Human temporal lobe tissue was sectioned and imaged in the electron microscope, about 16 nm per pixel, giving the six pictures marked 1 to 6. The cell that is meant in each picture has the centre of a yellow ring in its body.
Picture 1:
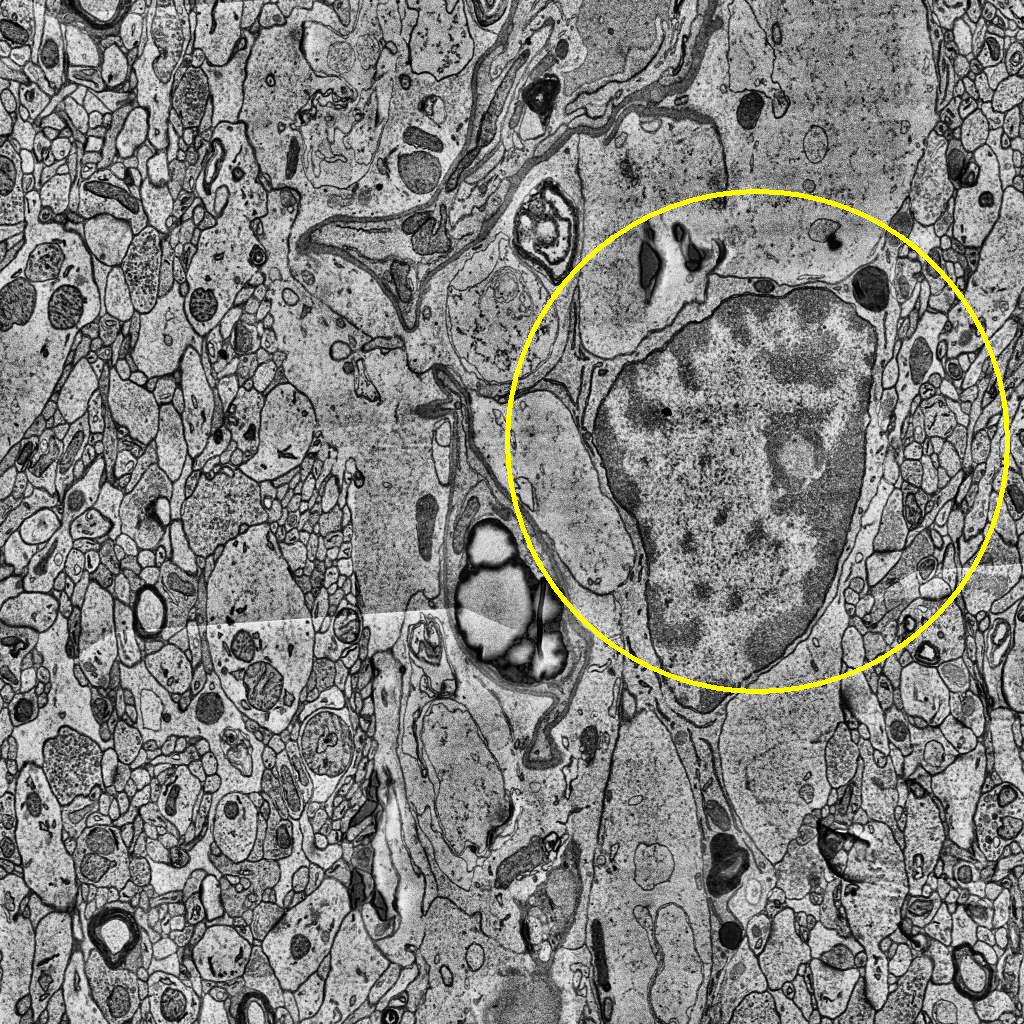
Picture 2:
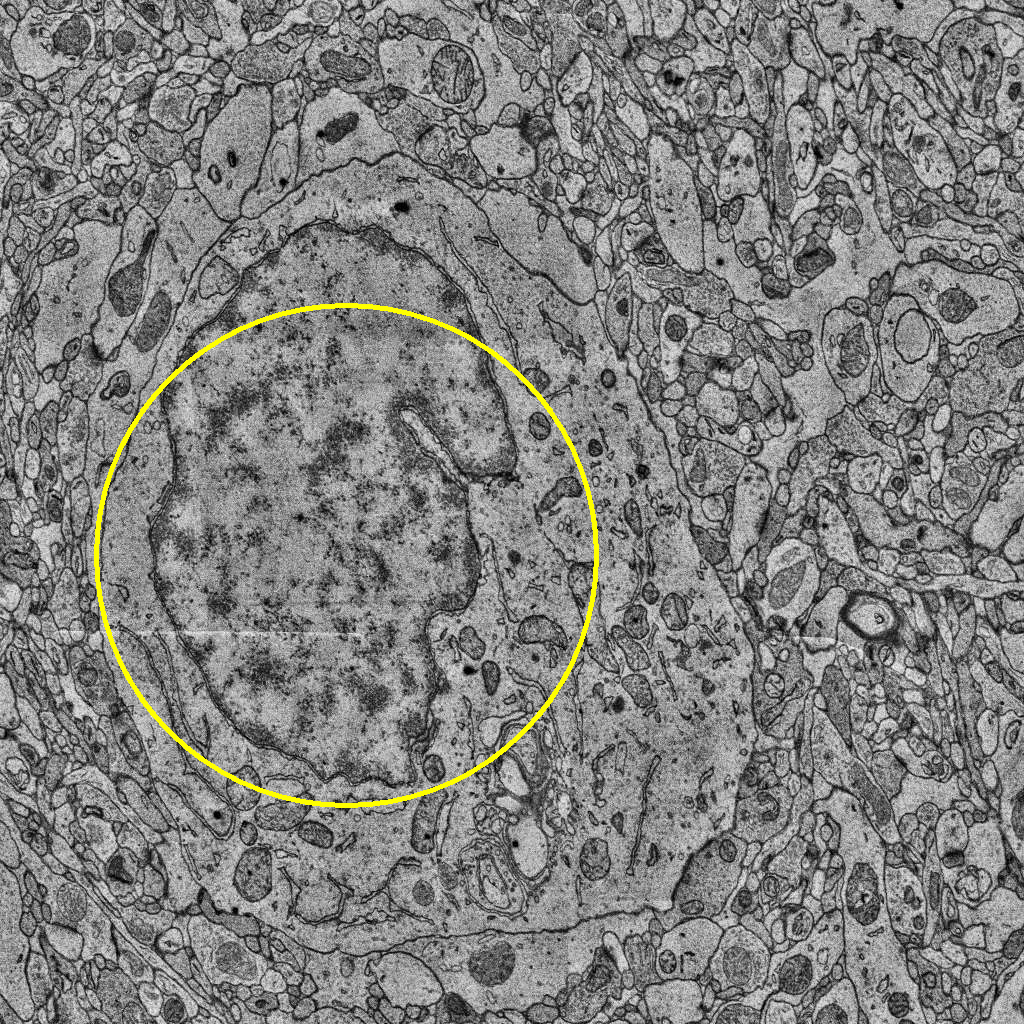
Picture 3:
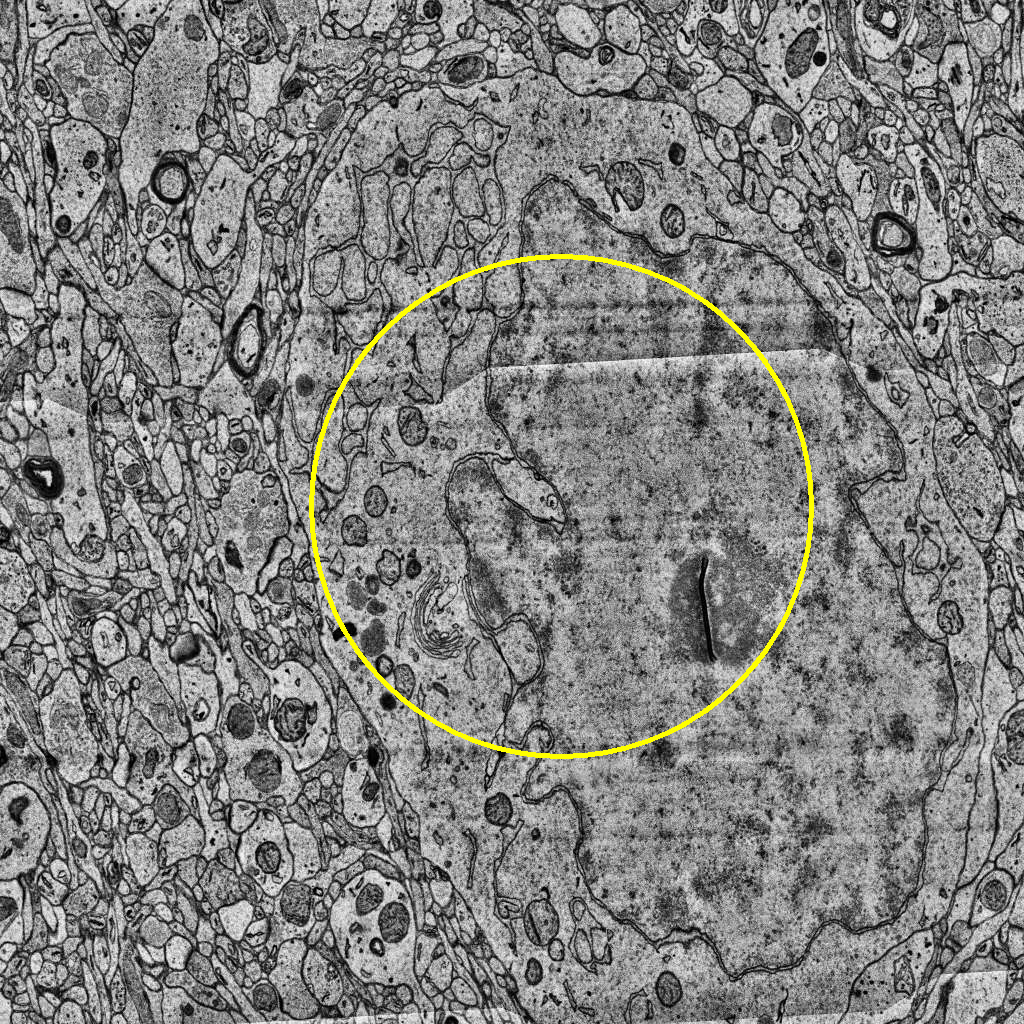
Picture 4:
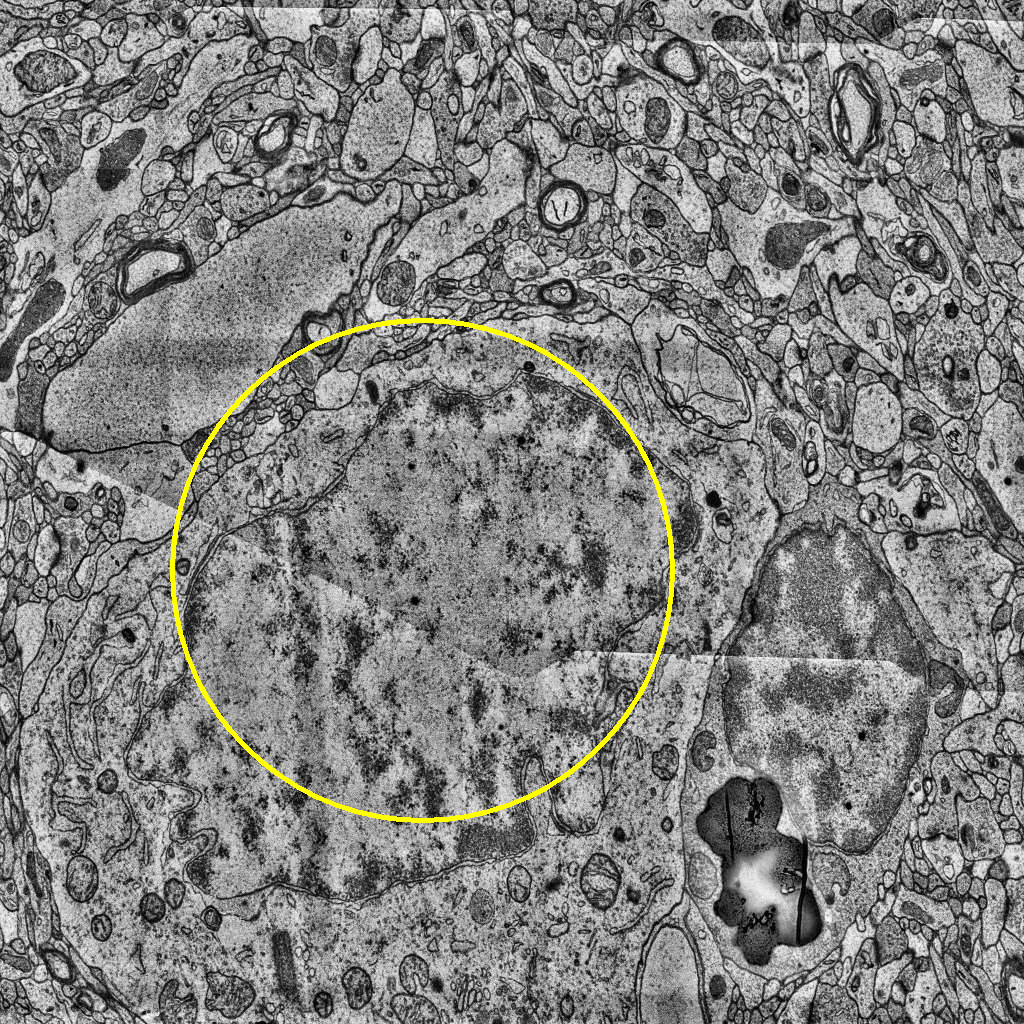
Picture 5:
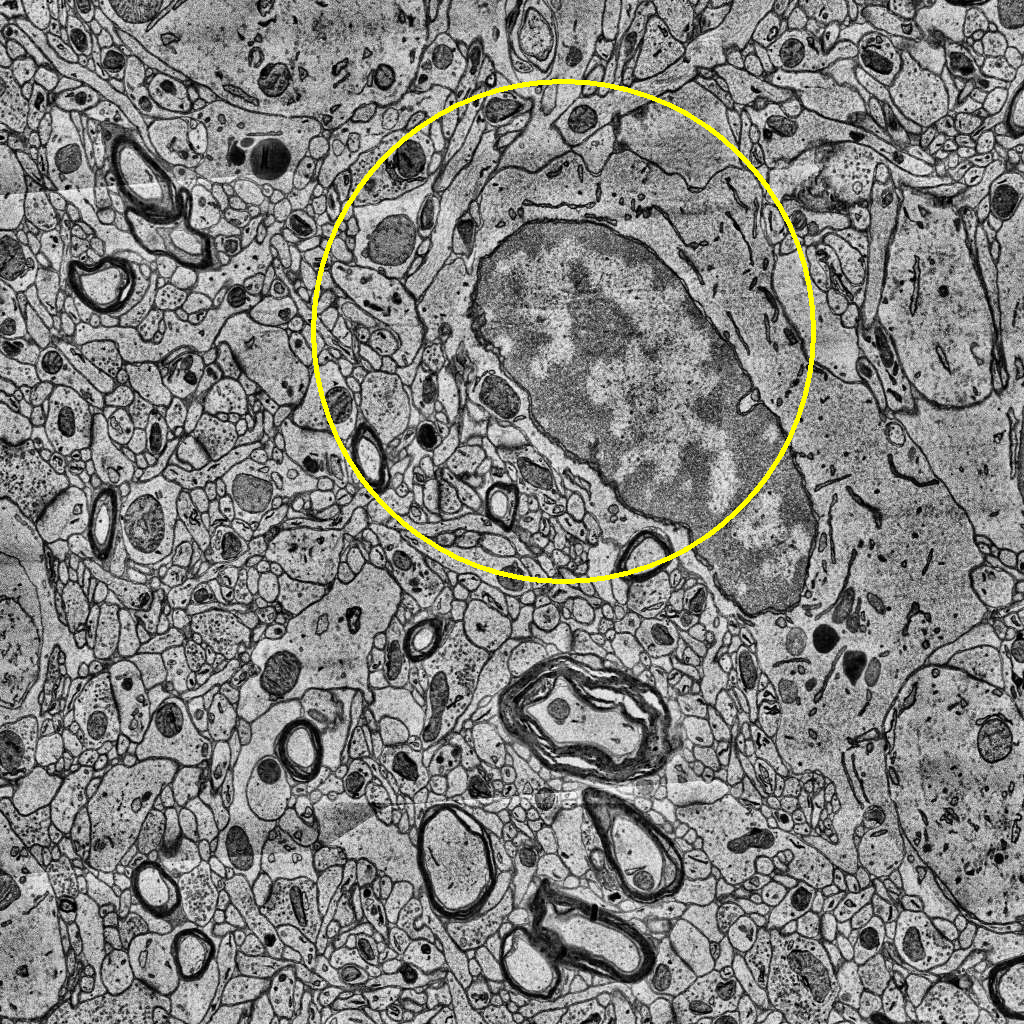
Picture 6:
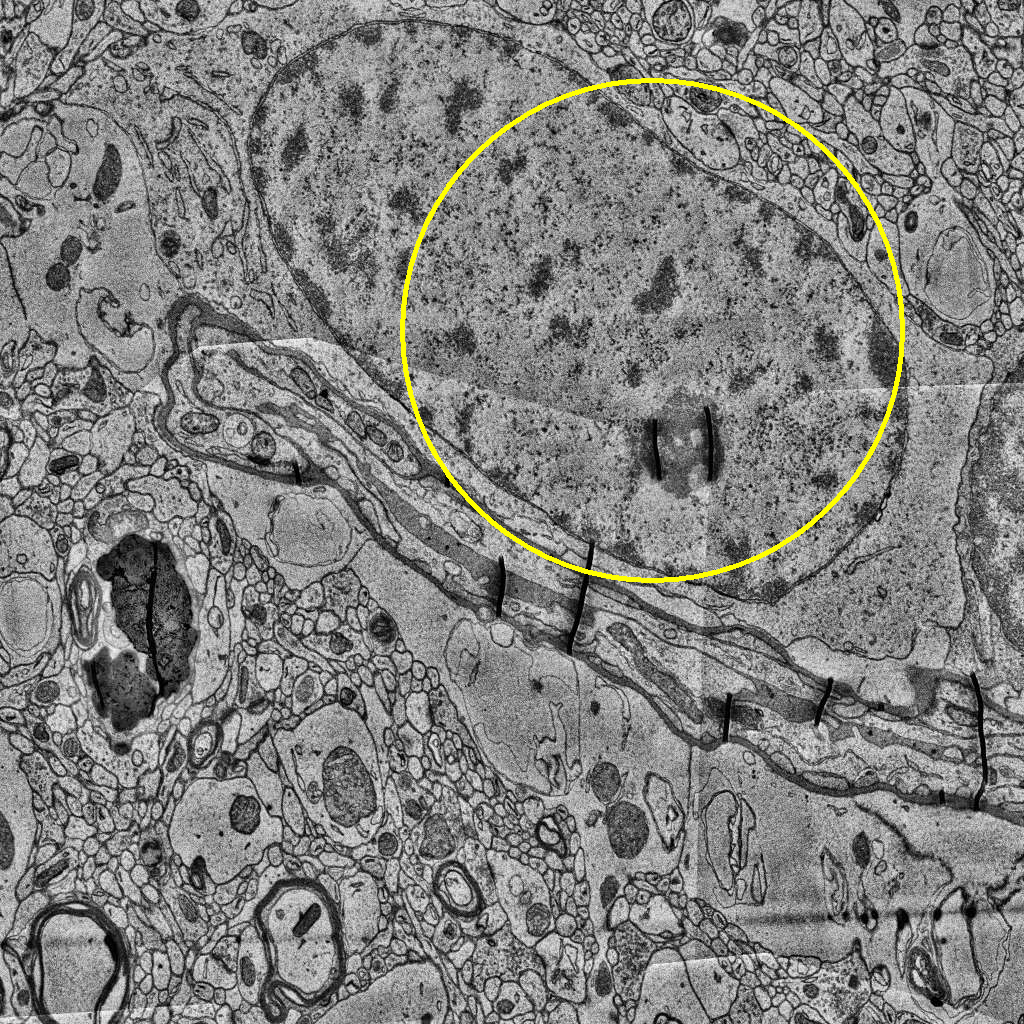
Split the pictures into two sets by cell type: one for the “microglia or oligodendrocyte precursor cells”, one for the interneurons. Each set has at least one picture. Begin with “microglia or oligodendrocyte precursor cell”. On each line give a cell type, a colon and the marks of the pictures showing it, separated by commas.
microglia or oligodendrocyte precursor cell: 1, 5, 6
interneuron: 2, 3, 4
